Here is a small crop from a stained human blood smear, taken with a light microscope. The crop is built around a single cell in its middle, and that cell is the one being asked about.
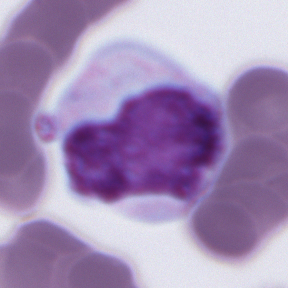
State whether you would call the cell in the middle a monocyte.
no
